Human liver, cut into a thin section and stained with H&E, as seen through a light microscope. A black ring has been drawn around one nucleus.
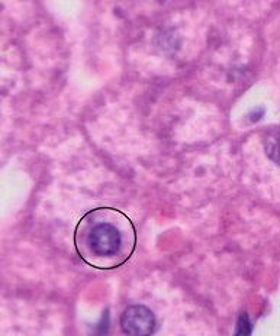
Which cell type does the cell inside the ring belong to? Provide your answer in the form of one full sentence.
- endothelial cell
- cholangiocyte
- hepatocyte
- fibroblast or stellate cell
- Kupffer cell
Speaking plainly, the cell inside the ring is nothing other than a hepatocyte.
